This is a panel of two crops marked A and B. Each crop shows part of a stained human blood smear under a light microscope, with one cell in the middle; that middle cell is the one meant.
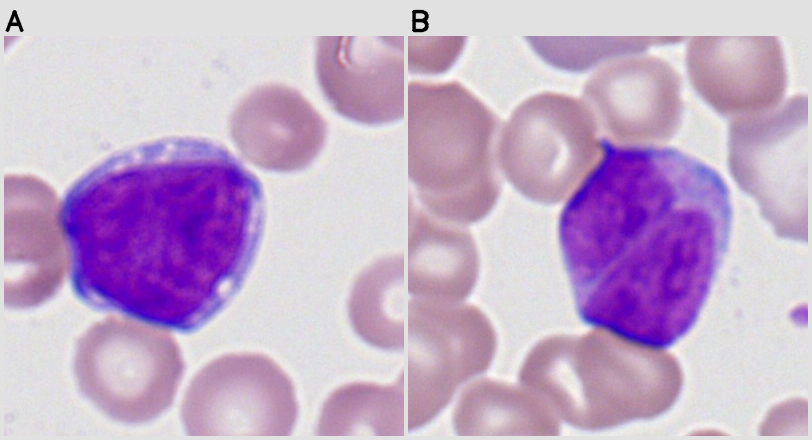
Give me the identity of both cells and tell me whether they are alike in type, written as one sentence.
Yes, both crops in this set show blasts.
